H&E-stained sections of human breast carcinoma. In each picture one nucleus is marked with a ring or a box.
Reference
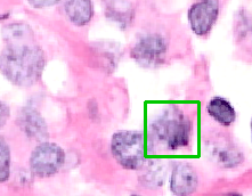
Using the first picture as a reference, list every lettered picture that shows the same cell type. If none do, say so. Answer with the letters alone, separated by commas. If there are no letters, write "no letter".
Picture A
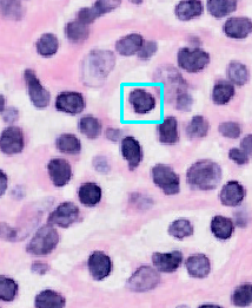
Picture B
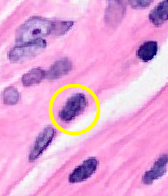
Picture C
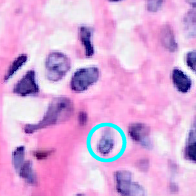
no letter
